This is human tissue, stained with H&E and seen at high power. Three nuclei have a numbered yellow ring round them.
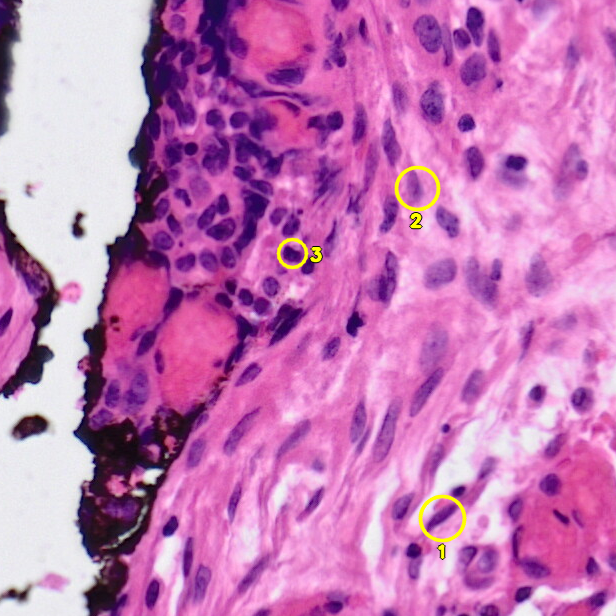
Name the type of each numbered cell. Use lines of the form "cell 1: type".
cell 1: fibroblast
cell 2: fibroblast
cell 3: macrophage or monocyte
